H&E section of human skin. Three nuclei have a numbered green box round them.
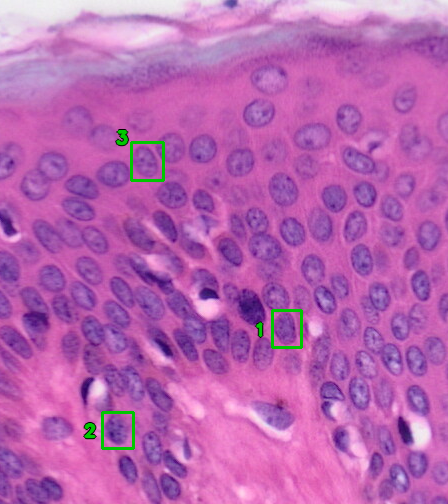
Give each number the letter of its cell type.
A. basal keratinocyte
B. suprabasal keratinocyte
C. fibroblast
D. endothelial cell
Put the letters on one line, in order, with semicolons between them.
A; A; B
